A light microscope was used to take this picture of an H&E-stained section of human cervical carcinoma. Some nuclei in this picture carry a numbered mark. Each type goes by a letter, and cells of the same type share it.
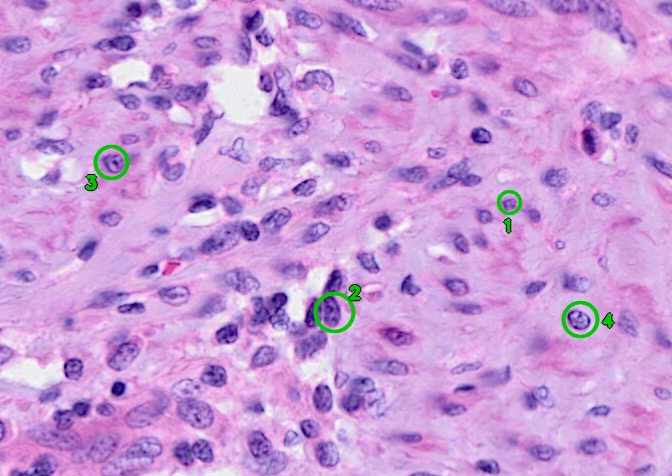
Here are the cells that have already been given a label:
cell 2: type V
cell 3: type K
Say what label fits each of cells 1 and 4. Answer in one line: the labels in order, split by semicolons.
type K; type V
